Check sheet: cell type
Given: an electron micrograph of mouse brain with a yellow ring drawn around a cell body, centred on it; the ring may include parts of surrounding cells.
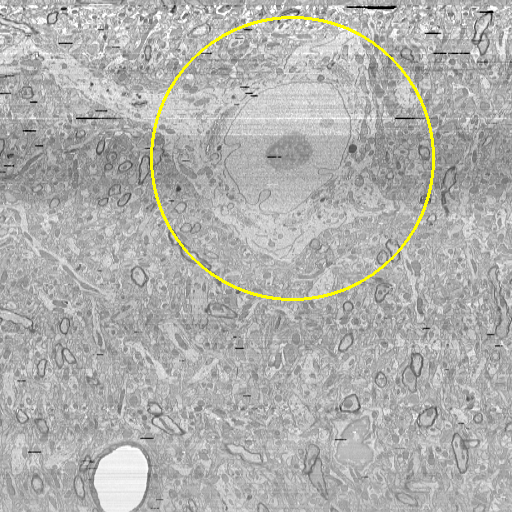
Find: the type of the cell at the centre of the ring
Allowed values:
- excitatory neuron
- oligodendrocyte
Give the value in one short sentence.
Here the ringed cell is an excitatory neuron.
